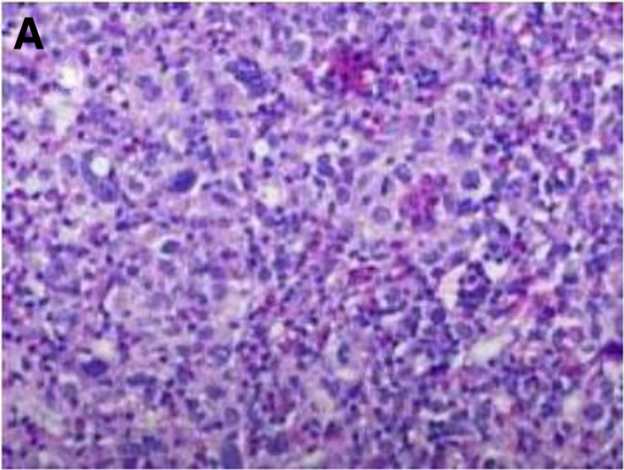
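The field shows a tumour made of undifferentiated cells with large, irregular, purple-stained nuclei of varying size and shape. The cytoplasm of these cells is pale and their borders are poorly defined, so neighbouring cells appear to merge into a continuous sheet. Smaller cells with dark, round, compact nuclei are scattered among the large tumour cells. A few cells with bright red-pink cytoplasm lie in small clusters within the sheet. Small clear spaces are interspersed between the cells.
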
